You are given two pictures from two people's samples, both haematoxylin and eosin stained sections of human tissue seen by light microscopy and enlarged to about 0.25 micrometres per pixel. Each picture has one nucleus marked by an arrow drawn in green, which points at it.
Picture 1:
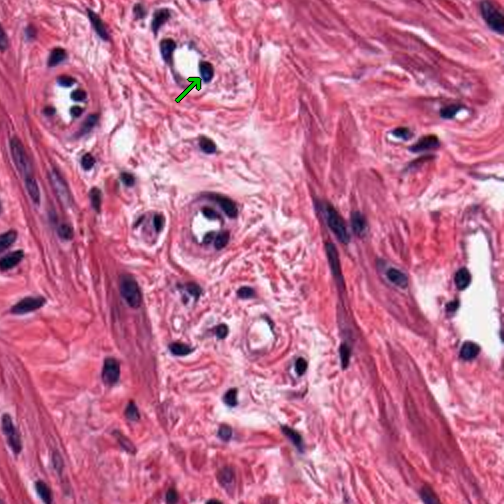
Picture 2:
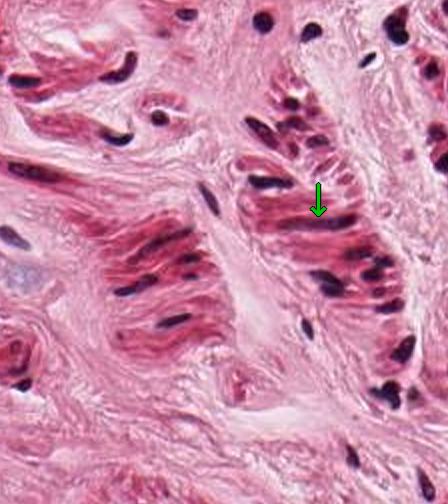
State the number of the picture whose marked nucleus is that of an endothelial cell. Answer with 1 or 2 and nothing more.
1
